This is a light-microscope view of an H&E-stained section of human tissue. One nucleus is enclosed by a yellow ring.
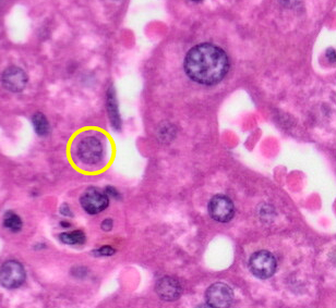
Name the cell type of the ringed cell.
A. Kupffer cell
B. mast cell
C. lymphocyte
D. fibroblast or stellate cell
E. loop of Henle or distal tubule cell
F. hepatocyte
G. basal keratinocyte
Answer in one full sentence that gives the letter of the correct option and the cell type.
In this section the ringed cell is a hepatocyte; option F is therefore correct.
